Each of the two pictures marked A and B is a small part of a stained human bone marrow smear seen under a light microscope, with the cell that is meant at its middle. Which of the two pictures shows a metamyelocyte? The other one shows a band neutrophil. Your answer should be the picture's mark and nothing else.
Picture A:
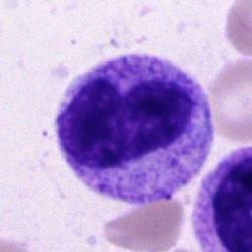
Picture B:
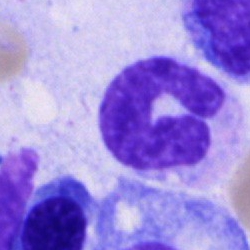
A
